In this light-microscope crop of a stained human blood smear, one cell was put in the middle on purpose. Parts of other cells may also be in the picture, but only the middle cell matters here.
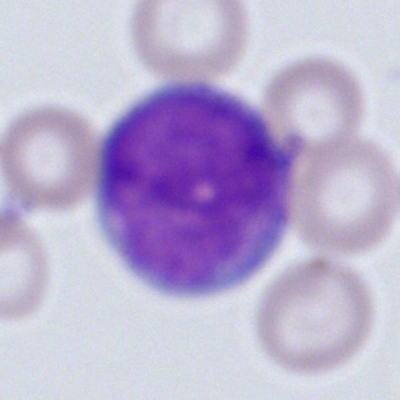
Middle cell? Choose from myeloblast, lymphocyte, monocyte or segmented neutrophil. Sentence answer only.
Classification of the middle cell gives a myeloblast.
